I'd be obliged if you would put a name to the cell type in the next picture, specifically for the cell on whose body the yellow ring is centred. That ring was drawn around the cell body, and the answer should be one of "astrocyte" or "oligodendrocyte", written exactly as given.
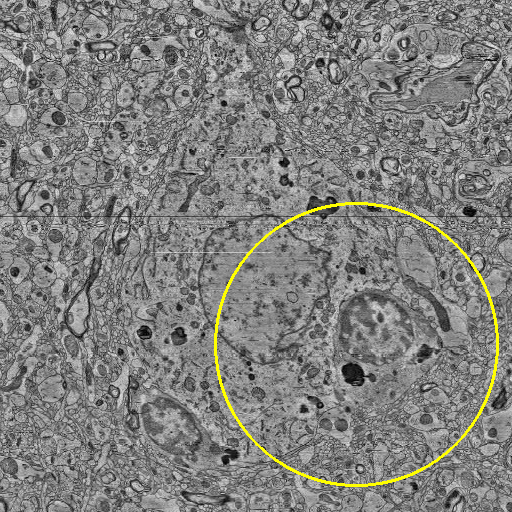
oligodendrocyte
